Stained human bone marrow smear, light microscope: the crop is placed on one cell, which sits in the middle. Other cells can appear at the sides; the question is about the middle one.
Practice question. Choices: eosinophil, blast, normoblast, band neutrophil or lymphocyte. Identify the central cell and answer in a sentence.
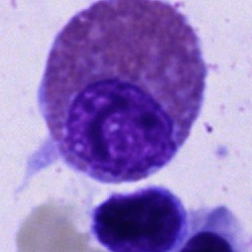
The cell positioned in the middle of the field is an eosinophil.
